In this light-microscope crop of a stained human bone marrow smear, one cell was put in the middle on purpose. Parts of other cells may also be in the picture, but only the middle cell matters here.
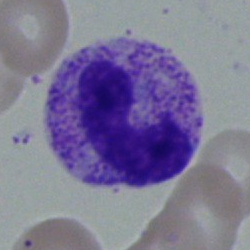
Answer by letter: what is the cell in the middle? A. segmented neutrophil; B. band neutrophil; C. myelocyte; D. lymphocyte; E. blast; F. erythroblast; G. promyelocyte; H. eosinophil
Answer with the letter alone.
B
